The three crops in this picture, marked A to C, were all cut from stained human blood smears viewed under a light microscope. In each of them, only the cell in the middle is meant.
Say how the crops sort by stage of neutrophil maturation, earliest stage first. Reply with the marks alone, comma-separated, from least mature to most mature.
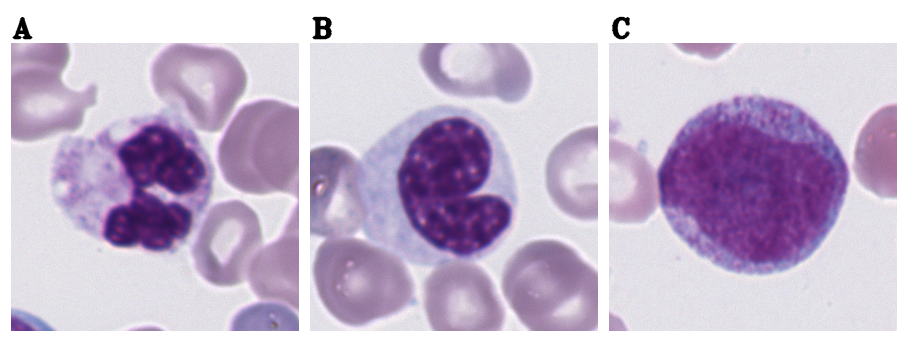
C, B, A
